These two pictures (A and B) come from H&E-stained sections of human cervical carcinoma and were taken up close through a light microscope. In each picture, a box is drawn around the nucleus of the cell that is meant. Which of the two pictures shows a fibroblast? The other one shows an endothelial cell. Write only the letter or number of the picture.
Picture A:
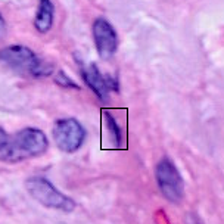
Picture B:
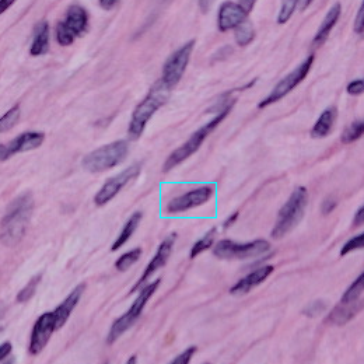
B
